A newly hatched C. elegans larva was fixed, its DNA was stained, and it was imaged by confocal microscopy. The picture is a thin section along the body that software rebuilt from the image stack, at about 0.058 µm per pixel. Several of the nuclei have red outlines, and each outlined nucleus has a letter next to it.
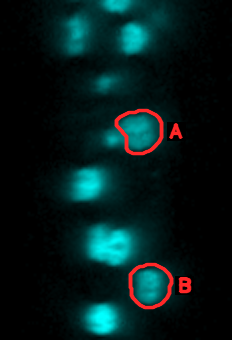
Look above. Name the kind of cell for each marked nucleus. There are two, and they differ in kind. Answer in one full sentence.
Nucleus A comes from an intestinal cell and nucleus B from a P cell (ventral epidermal blast cell).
